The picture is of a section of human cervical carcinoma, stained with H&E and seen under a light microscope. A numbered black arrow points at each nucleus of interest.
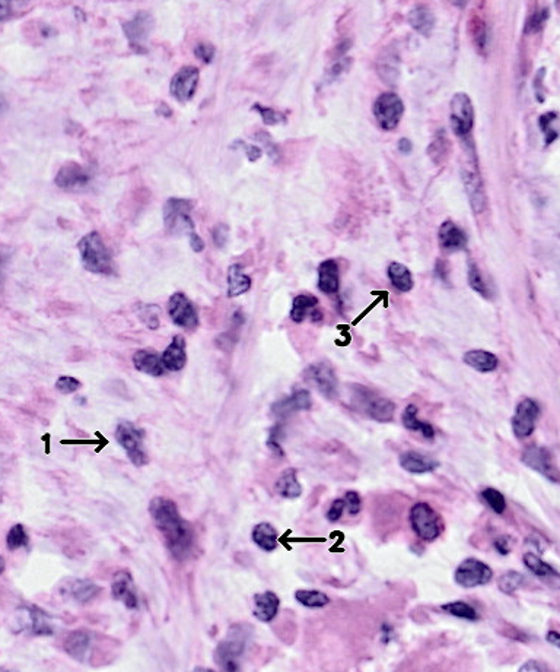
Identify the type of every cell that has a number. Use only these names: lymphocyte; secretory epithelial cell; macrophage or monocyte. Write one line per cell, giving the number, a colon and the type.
1: macrophage or monocyte
2: lymphocyte
3: lymphocyte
